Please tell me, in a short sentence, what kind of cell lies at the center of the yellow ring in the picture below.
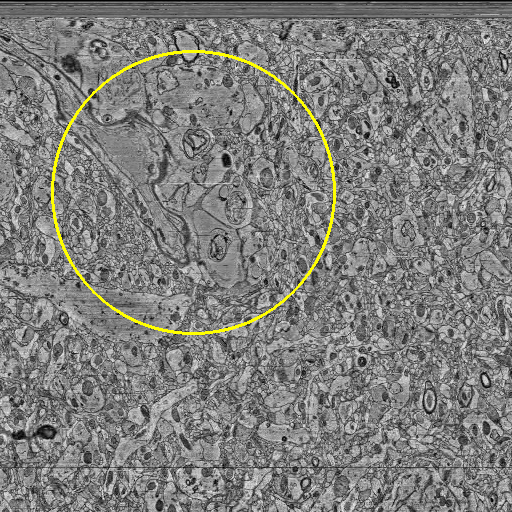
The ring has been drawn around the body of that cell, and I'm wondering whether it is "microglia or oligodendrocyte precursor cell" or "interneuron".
The cell at the center of the ring is a microglial cell or oligodendrocyte precursor cell.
